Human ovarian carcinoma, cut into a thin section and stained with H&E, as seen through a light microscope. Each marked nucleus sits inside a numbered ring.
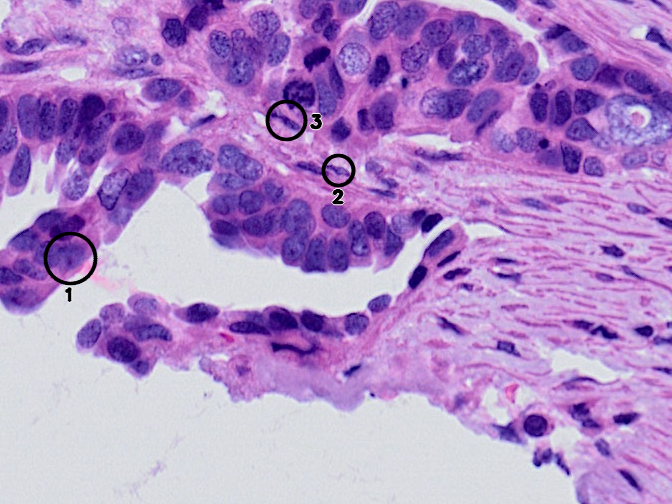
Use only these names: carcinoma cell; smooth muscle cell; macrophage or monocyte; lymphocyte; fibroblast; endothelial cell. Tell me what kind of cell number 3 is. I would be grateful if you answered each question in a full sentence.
Nucleus 3 in this section belongs to a fibroblast.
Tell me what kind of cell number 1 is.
The mark numbered 1 indicates the nucleus of a carcinoma cell.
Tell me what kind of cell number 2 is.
What the number 2 marks in this field is a fibroblast.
